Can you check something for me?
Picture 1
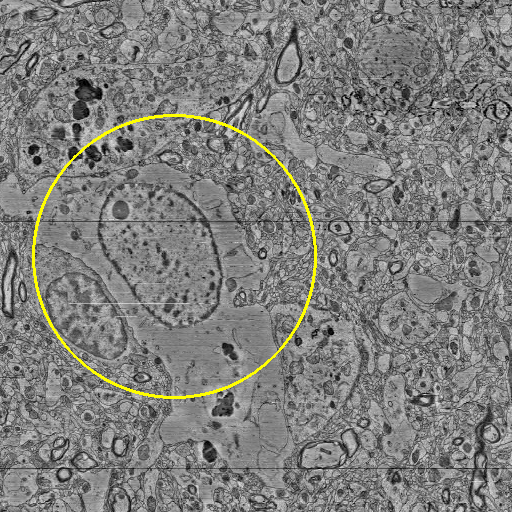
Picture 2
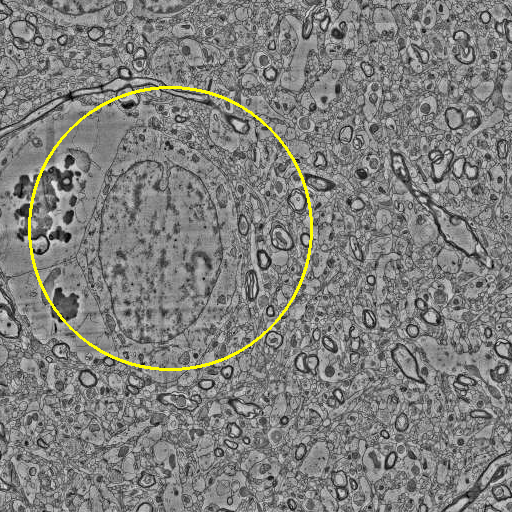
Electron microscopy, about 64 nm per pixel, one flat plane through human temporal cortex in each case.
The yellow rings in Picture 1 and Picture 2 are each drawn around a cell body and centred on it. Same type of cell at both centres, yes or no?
no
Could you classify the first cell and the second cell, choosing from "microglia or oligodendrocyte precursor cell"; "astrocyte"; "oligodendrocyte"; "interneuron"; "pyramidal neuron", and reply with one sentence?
The second cell is a pyramidal neuron, while the first is an astrocyte.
